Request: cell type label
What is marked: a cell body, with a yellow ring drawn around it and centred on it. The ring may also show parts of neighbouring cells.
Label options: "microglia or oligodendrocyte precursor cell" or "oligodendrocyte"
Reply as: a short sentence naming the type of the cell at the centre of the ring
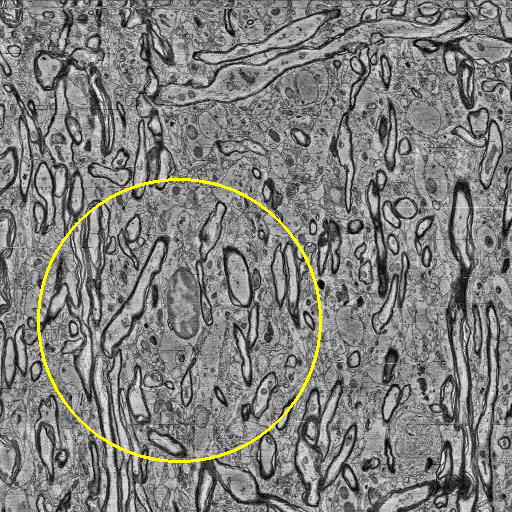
The marked cell body is that of a microglial cell or oligodendrocyte precursor cell.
